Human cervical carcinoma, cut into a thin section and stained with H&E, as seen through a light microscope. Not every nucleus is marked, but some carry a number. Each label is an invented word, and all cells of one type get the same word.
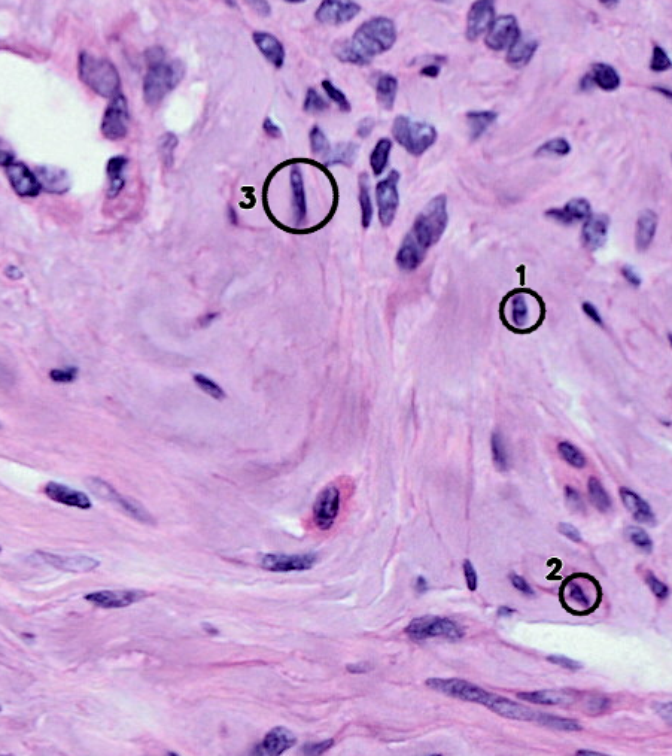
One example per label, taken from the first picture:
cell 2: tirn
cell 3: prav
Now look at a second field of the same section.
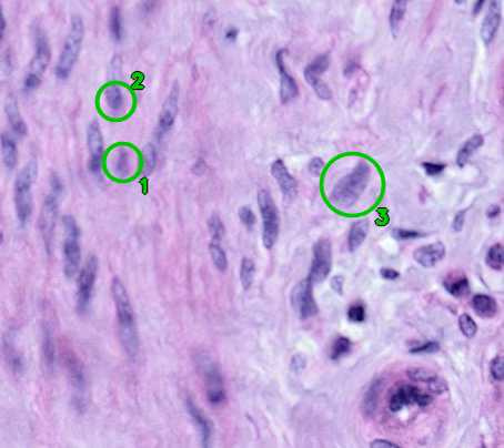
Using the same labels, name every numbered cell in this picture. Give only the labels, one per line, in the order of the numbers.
tirn
tirn
prav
